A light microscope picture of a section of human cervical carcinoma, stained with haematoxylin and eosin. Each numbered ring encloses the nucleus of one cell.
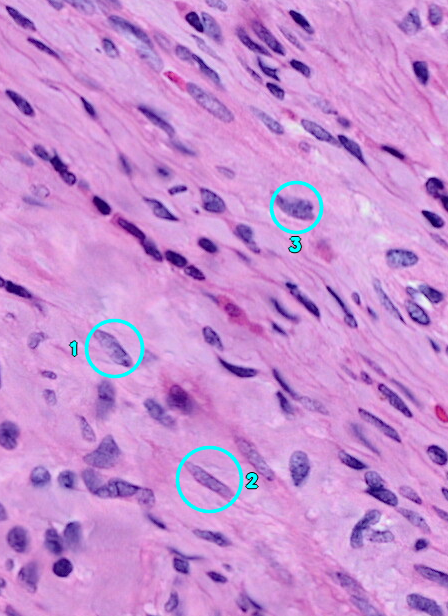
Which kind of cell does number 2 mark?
smooth muscle cell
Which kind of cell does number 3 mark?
fibroblast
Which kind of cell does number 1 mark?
fibroblast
